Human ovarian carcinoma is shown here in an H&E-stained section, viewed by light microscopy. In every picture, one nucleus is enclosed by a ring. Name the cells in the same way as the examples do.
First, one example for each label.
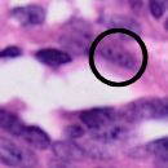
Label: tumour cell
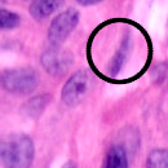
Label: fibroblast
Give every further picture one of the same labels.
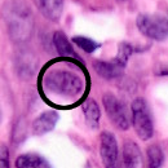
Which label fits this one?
tumour cell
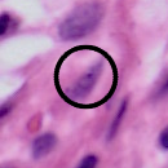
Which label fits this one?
fibroblast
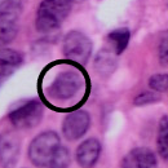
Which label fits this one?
tumour cell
